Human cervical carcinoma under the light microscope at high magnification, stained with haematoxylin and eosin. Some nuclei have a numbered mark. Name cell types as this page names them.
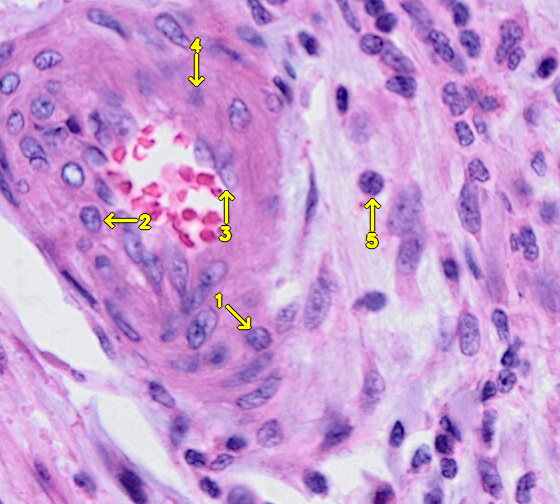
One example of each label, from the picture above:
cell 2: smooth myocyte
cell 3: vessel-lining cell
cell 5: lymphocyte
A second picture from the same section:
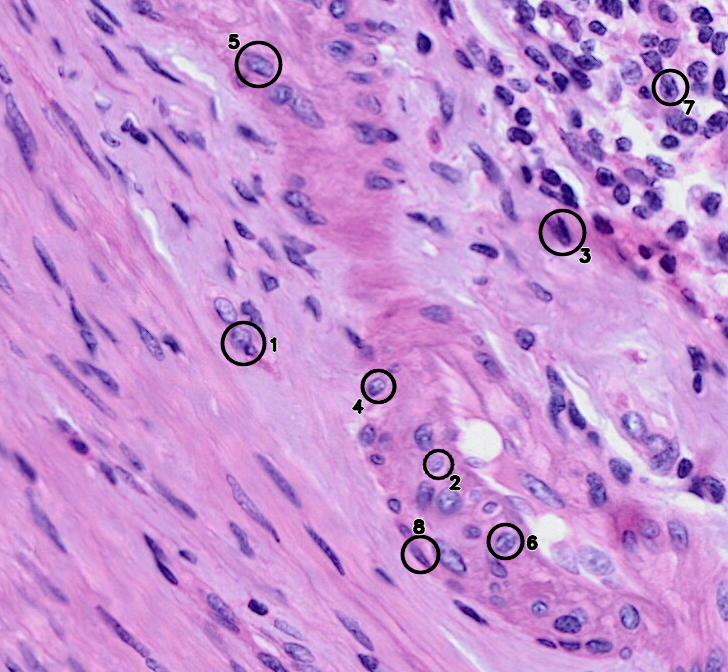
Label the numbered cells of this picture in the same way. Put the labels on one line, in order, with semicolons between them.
vessel-lining cell; smooth myocyte; lymphocyte; smooth myocyte; smooth myocyte; smooth myocyte; lymphocyte; smooth myocyte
